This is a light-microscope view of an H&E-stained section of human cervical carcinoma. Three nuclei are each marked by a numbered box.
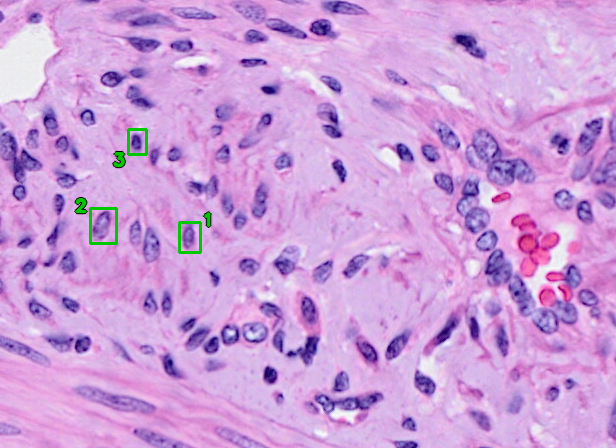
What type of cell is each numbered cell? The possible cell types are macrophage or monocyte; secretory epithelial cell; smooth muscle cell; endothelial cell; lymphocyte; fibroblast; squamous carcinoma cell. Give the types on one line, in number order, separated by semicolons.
smooth muscle cell; smooth muscle cell; fibroblast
